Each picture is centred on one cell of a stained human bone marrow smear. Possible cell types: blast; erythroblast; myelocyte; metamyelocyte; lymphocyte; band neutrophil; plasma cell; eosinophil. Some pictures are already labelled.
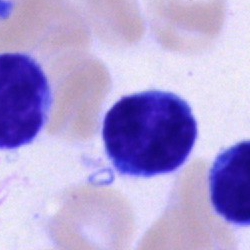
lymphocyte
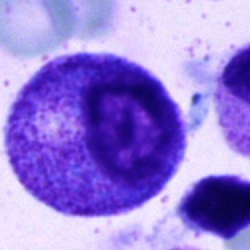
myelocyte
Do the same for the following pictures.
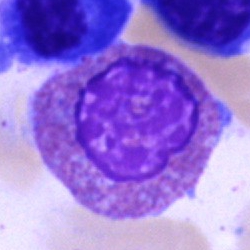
eosinophil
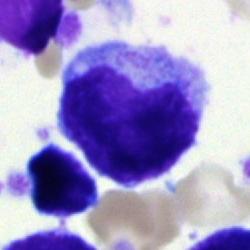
myelocyte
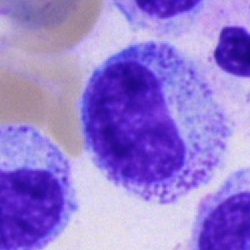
myelocyte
